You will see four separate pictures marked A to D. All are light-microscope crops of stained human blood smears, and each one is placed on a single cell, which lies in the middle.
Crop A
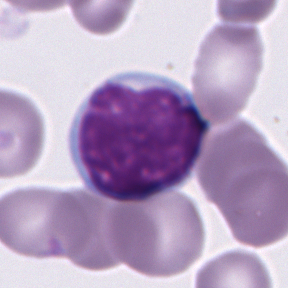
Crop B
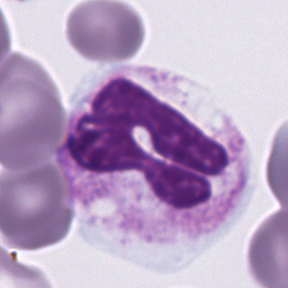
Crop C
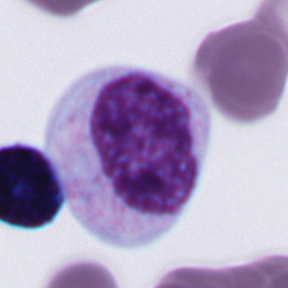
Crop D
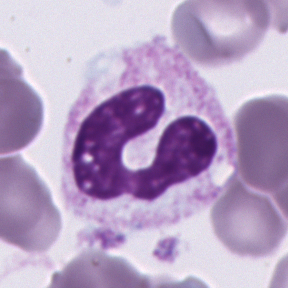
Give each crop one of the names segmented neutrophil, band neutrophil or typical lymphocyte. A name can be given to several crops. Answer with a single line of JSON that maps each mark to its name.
{"A": "typical lymphocyte", "B": "segmented neutrophil", "C": "band neutrophil", "D": "segmented neutrophil"}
